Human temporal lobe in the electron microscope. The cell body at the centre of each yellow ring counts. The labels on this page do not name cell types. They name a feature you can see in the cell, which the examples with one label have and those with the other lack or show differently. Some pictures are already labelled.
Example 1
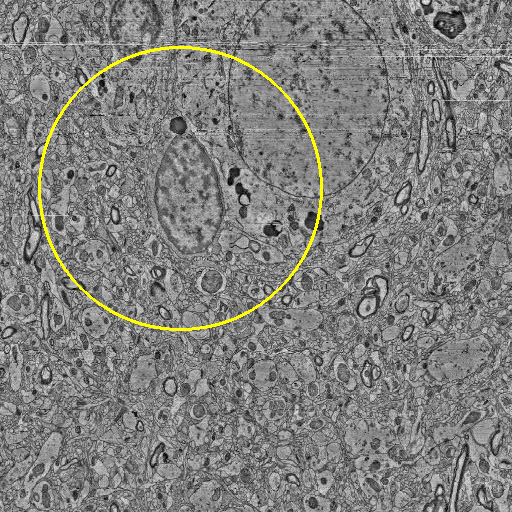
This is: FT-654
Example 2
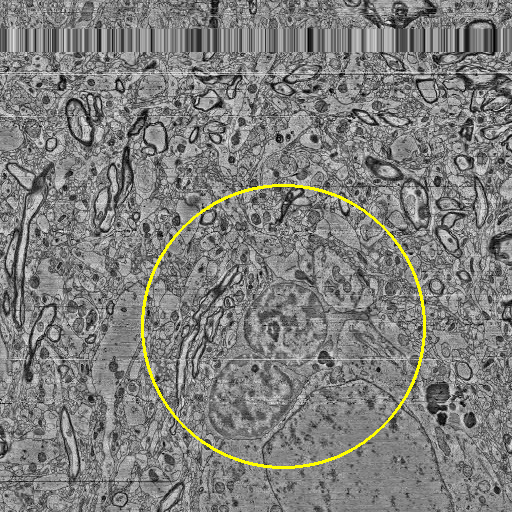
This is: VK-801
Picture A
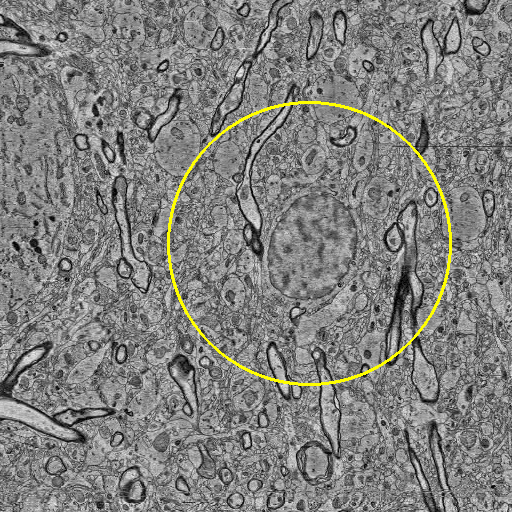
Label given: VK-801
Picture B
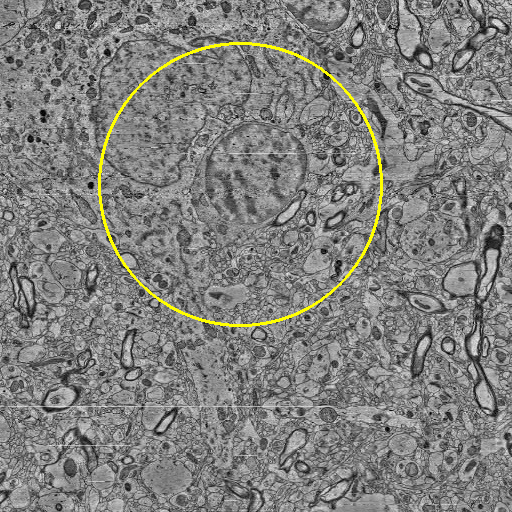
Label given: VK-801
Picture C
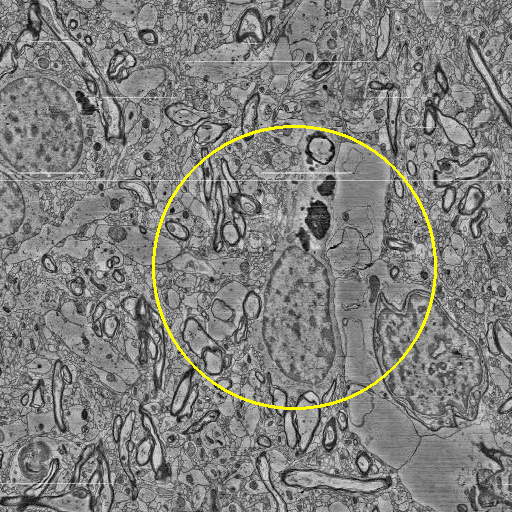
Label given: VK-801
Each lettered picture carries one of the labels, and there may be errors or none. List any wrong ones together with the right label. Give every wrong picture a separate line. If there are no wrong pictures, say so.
C: not VK-801 but FT-654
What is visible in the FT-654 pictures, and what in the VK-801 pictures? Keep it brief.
In FT-654: clearly elongated nuclei. In VK-801: round or nearly round nuclei.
